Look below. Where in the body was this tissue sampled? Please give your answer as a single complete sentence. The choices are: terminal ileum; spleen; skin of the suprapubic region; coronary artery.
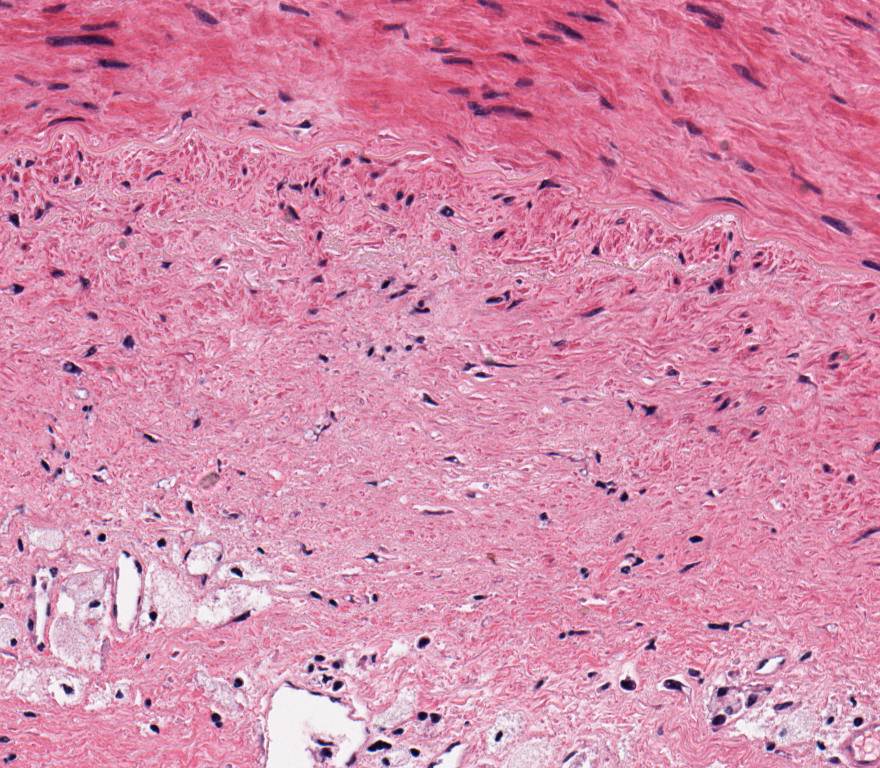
The sample was taken from the coronary artery.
